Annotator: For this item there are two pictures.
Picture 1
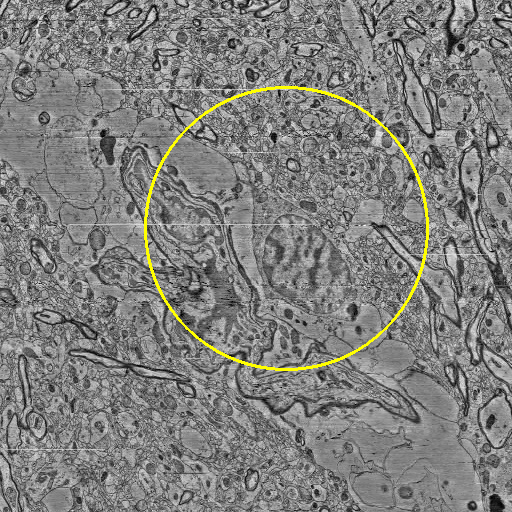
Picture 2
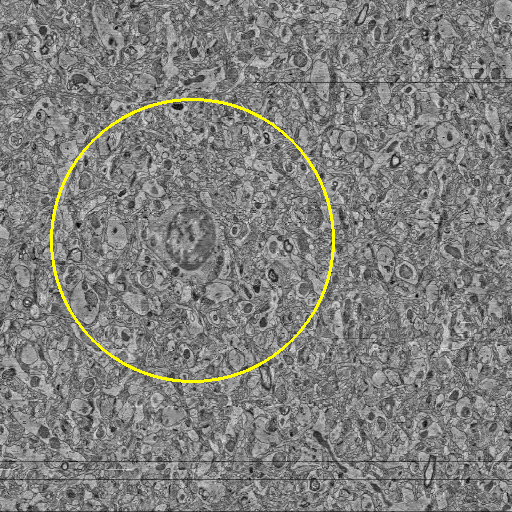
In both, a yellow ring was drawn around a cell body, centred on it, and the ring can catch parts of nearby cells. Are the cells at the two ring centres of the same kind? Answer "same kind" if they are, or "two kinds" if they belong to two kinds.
same kind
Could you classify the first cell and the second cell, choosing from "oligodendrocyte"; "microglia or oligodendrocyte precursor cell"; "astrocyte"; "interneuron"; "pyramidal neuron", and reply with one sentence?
In both pictures the ring is centred on an oligodendrocyte.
